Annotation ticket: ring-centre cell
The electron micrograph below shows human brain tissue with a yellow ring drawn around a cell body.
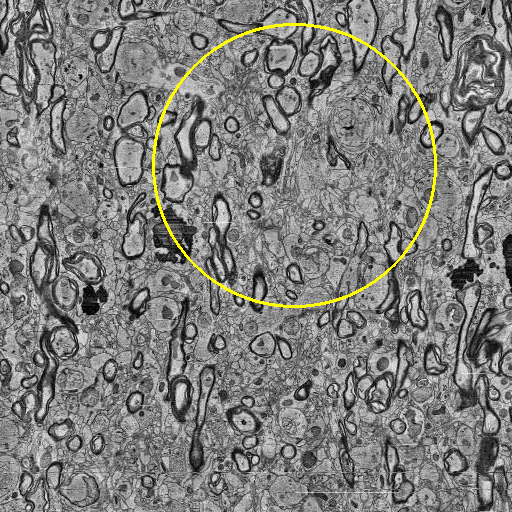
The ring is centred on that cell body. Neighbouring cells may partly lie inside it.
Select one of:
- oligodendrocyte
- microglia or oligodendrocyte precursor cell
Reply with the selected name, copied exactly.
oligodendrocyte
